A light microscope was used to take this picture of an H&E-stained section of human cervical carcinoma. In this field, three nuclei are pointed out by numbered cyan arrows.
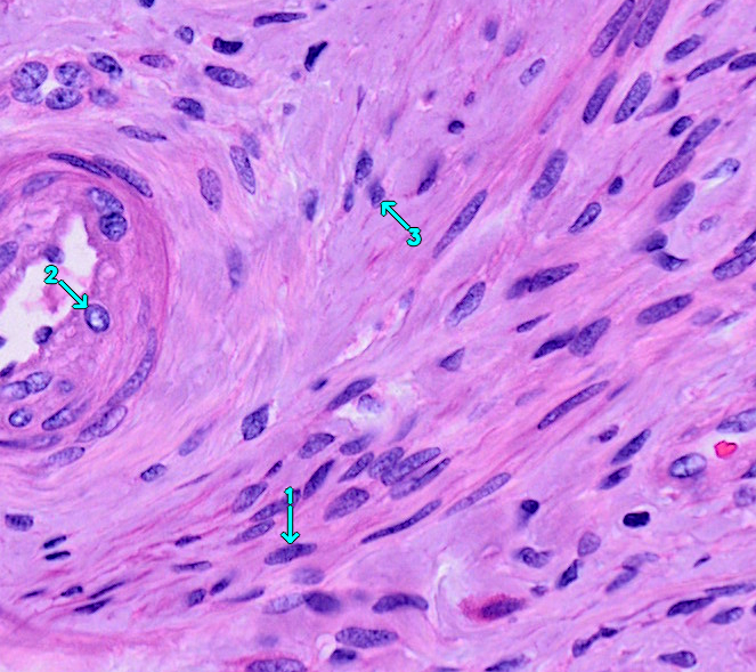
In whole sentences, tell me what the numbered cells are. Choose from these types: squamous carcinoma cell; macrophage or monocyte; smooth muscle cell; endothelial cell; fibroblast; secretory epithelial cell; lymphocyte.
Cell 1 is a fibroblast, cell 2 is a smooth muscle cell and cell 3 is a fibroblast.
